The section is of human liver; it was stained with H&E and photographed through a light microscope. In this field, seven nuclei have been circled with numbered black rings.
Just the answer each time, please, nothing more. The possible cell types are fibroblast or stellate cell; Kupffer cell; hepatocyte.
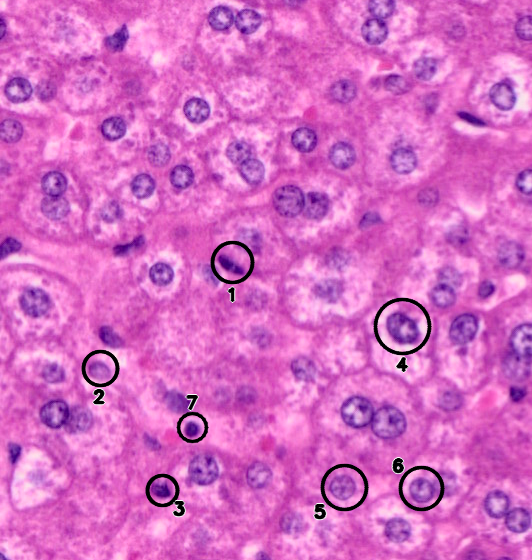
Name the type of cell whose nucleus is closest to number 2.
fibroblast or stellate cell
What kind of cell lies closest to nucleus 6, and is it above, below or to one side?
a hepatocyte to the right of nucleus 6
